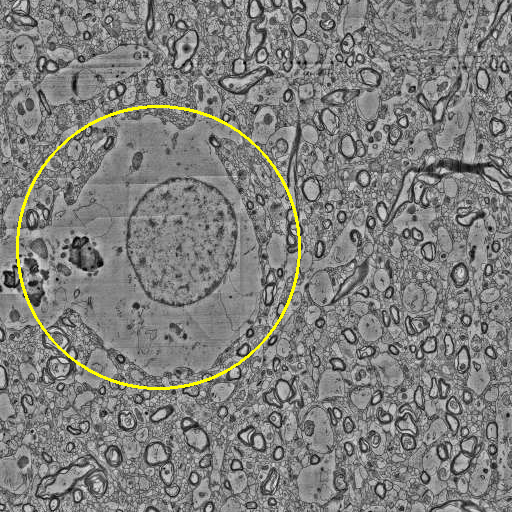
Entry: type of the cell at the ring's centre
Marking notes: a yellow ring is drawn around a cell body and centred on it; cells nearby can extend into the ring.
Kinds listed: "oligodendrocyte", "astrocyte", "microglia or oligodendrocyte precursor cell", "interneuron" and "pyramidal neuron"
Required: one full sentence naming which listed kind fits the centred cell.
My entry names an astrocyte as the cell whose body the yellow ring centres on.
